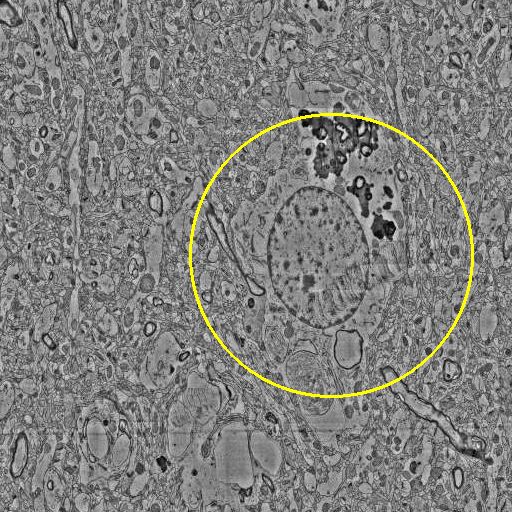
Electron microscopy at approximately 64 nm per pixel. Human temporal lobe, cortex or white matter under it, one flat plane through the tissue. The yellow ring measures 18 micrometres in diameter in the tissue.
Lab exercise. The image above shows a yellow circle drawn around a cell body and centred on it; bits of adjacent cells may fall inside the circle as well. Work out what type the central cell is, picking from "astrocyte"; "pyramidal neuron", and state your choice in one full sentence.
In the image above, the cell at the centre of the yellow circle is an astrocyte.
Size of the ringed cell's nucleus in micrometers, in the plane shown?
About 9 micrometres by about 6 micrometres in this plane.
